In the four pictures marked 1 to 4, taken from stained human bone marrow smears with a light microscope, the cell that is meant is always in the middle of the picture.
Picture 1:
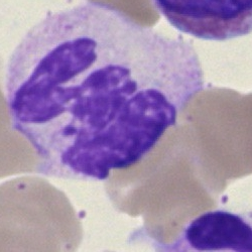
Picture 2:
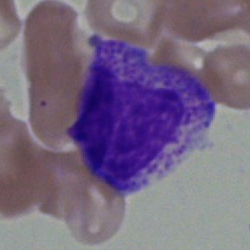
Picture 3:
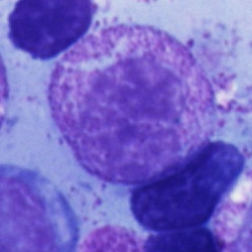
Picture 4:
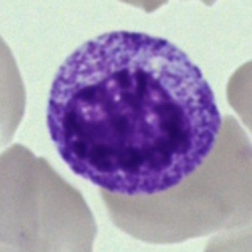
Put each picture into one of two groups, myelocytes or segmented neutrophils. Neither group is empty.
1: segmented neutrophil
2: myelocyte
3: myelocyte
4: myelocyte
